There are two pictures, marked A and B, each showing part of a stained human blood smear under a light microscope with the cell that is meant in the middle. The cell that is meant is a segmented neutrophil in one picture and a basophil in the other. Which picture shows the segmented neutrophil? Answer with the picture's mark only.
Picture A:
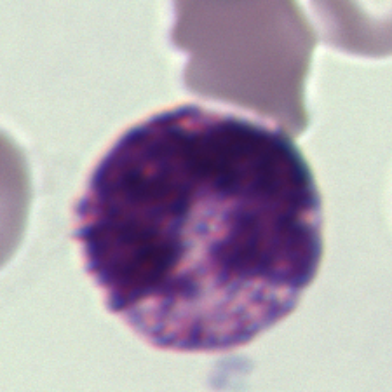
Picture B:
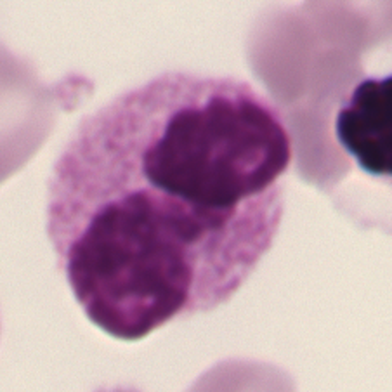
B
